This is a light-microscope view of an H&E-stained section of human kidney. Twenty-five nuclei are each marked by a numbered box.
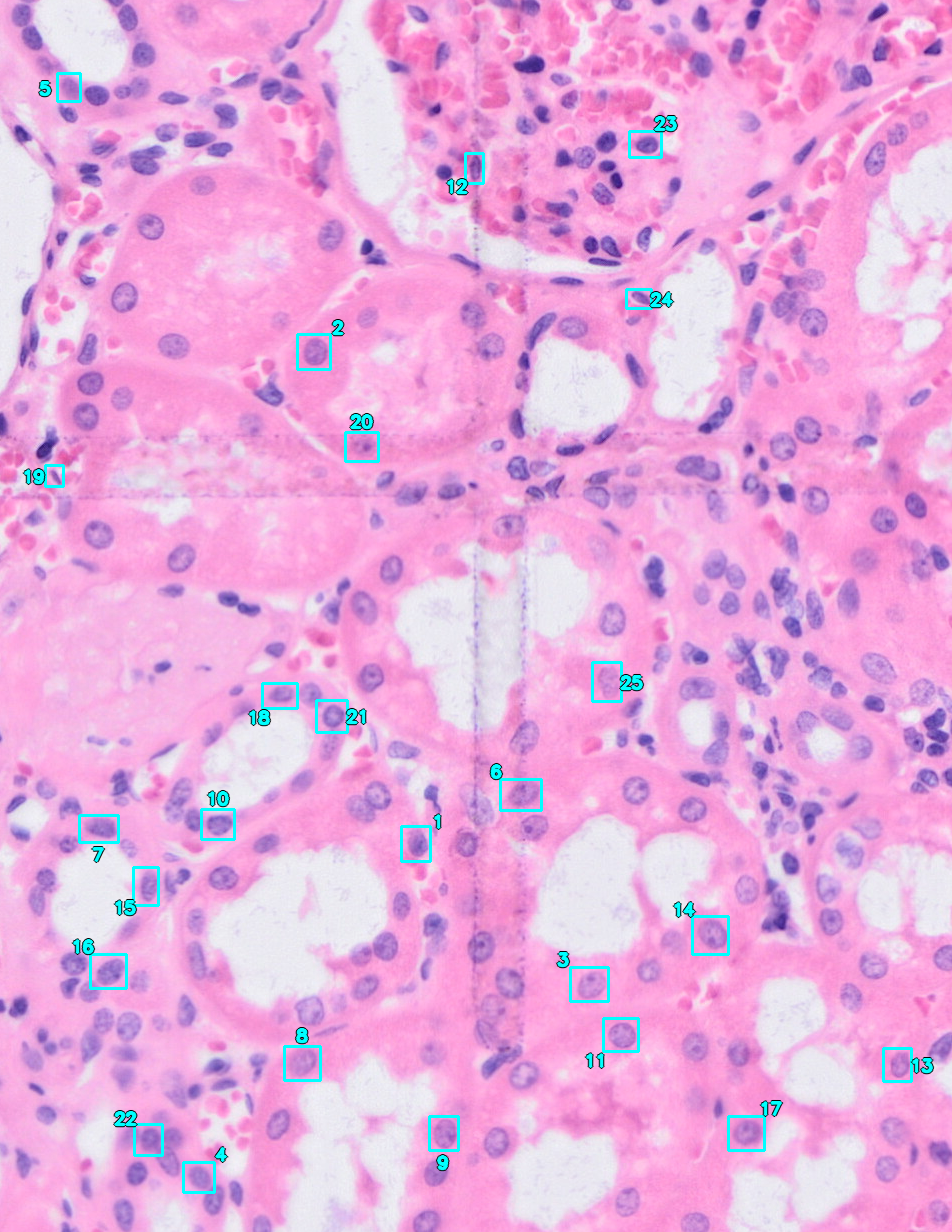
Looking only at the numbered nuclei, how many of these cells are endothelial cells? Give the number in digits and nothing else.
5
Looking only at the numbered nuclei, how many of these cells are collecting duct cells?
9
